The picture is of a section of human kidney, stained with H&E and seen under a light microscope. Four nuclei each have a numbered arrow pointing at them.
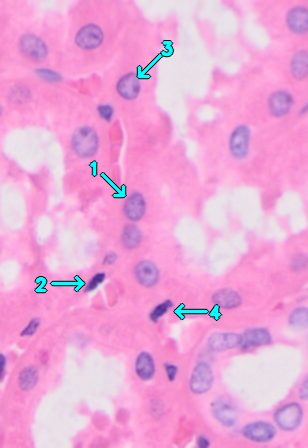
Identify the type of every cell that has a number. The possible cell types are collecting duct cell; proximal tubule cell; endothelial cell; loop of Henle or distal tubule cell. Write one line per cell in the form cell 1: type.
cell 1: proximal tubule cell
cell 2: endothelial cell
cell 3: proximal tubule cell
cell 4: endothelial cell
